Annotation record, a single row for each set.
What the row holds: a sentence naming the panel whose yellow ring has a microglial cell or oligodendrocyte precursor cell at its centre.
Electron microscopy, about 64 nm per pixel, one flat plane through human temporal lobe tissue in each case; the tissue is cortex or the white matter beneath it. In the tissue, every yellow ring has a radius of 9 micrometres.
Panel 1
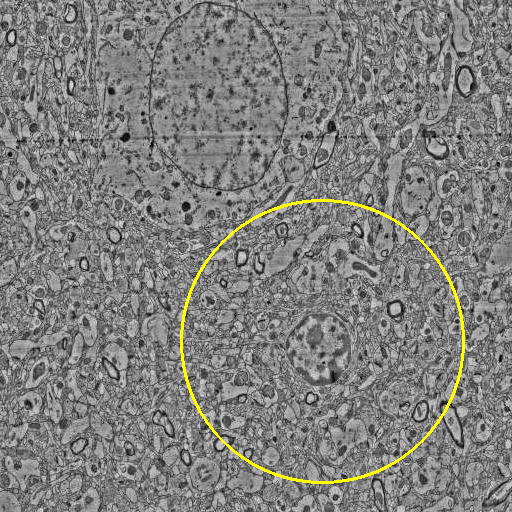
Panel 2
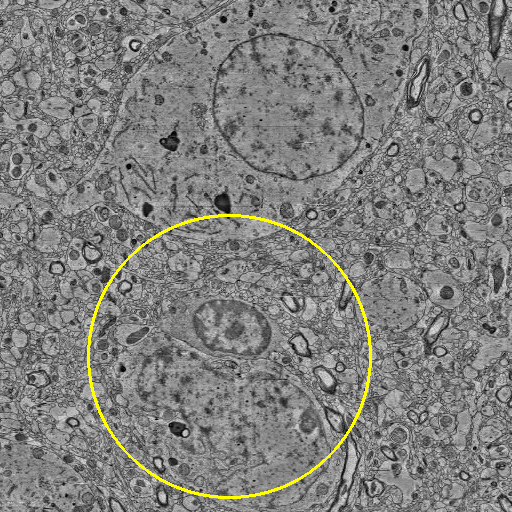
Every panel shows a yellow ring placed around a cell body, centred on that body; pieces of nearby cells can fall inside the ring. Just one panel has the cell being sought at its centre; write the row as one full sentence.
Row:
In panel 1, the cell at the middle of the yellow ring is the one sought.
